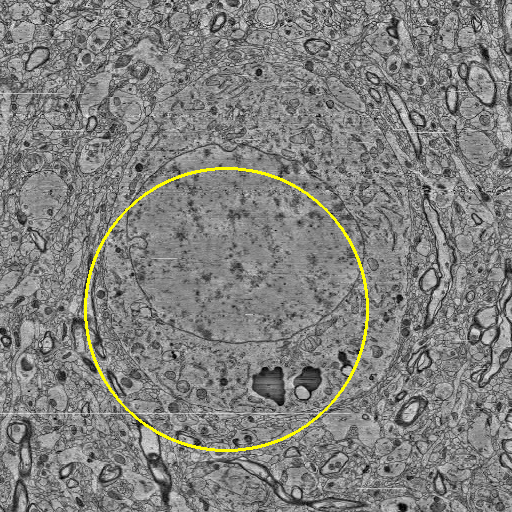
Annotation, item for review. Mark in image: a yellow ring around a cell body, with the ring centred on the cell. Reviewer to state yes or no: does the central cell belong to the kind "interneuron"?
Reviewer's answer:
no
